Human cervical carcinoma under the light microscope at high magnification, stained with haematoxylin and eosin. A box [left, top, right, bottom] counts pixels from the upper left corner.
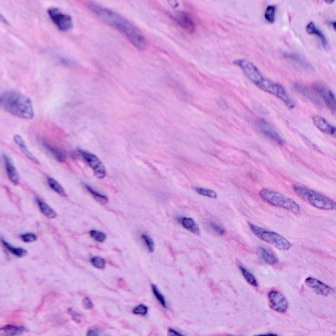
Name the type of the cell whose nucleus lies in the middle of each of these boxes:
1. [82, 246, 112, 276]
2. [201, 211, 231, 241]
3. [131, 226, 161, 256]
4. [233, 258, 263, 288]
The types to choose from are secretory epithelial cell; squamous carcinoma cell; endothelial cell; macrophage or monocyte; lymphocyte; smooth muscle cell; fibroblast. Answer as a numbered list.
1. smooth muscle cell
2. smooth muscle cell
3. fibroblast
4. smooth muscle cell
